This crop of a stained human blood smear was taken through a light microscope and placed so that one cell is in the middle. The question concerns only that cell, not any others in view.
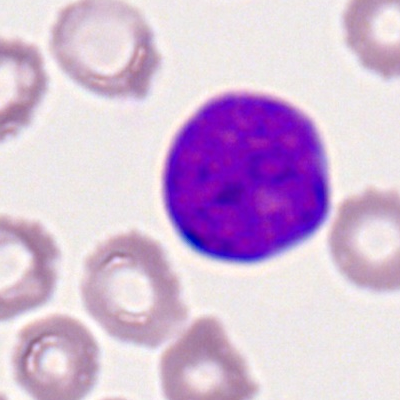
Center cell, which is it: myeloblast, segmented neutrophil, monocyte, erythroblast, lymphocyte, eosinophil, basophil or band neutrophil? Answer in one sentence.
In the centre of this crop there is a myeloblast.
